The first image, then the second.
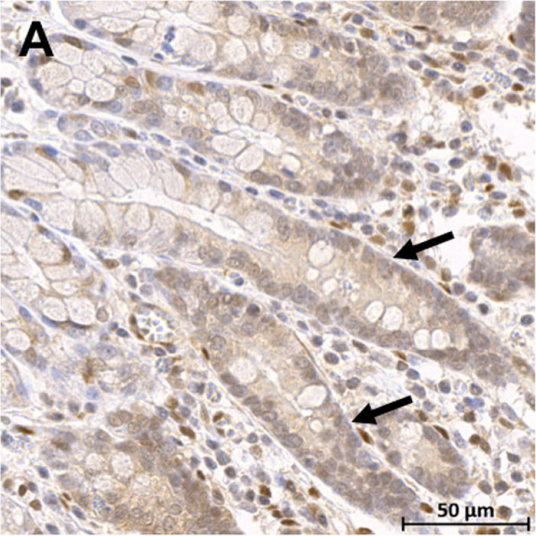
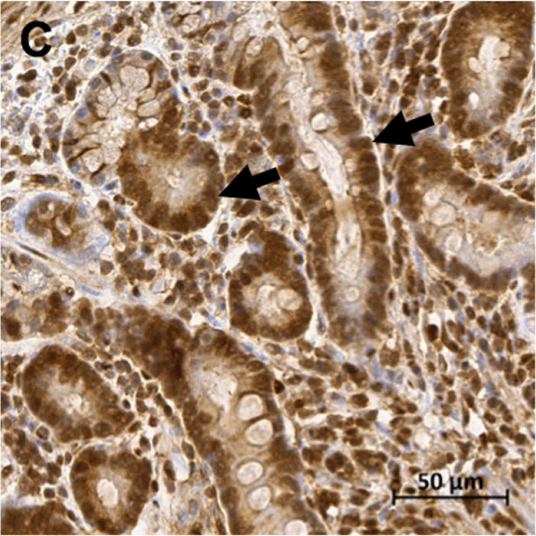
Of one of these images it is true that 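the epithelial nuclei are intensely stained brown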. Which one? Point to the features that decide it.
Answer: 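The second image. Second image: epithelial nuclei and much of the tissue are dark brown. First image: epithelial nuclei are pale, many bluish, with only light brown tint.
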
